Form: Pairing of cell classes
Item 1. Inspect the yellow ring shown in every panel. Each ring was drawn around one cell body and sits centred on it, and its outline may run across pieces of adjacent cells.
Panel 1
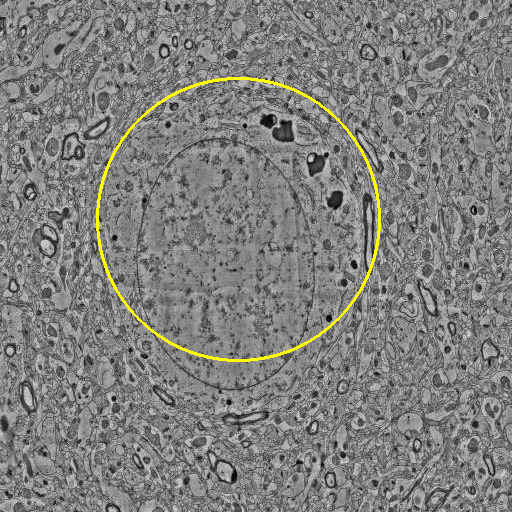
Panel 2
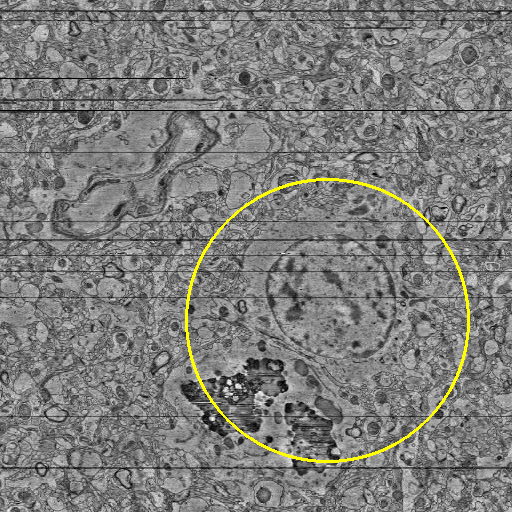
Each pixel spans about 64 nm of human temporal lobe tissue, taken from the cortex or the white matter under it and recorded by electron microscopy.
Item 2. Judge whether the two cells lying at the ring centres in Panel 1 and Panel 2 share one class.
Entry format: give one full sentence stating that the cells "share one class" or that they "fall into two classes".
The cells at the ring centres in Panel 1 and Panel 2 fall into two classes.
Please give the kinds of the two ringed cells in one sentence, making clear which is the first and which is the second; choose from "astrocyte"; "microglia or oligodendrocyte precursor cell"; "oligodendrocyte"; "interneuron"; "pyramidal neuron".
In the second picture the ringed cell is an astrocyte; in the first it is a pyramidal neuron.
